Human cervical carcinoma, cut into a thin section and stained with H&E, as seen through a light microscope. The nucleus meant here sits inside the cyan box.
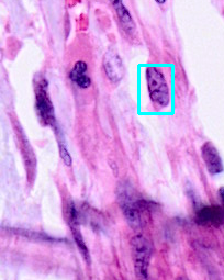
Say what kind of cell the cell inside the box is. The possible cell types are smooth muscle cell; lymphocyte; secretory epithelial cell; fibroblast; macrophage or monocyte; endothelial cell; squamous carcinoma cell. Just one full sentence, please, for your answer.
It is as a macrophage or monocyte that the cell inside the box is recorded.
